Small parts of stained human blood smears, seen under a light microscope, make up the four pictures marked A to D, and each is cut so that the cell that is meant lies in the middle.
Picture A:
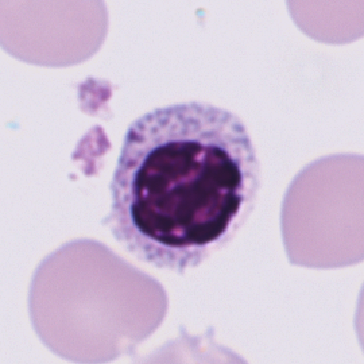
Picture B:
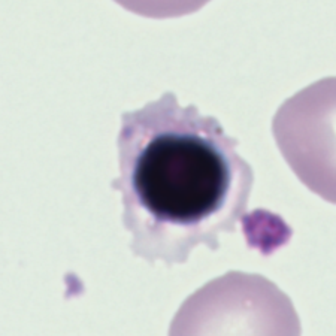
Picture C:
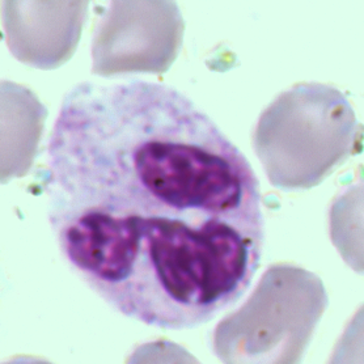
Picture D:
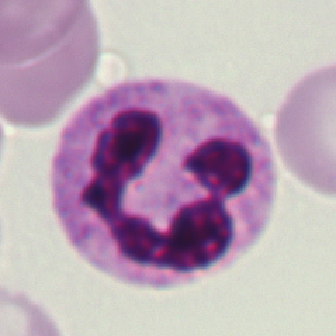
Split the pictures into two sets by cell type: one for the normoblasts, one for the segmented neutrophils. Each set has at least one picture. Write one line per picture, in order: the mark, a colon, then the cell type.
A: normoblast
B: normoblast
C: segmented neutrophil
D: segmented neutrophil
